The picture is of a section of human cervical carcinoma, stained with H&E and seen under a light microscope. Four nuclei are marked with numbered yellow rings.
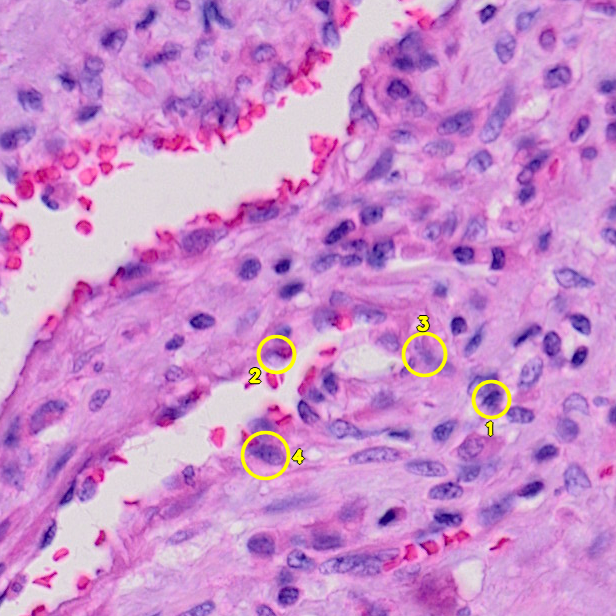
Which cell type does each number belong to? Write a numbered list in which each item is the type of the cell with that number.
1. lymphocyte
2. endothelial cell
3. endothelial cell
4. endothelial cell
